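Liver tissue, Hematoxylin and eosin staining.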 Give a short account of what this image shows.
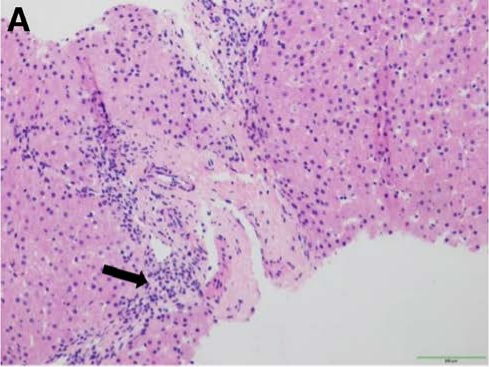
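Pink polygonal hepatocytes with round central nuclei form plates on both sides of a band of fibrous portal tissue that contains small vessels and ducts. Along the border of this band, many small dark round inflammatory cells crowd into the neighbouring hepatocyte plates, and the hepatocytes look pale and somewhat swollen. This is a portal tract with interfacial inflammation and mild hepatocyte edema.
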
